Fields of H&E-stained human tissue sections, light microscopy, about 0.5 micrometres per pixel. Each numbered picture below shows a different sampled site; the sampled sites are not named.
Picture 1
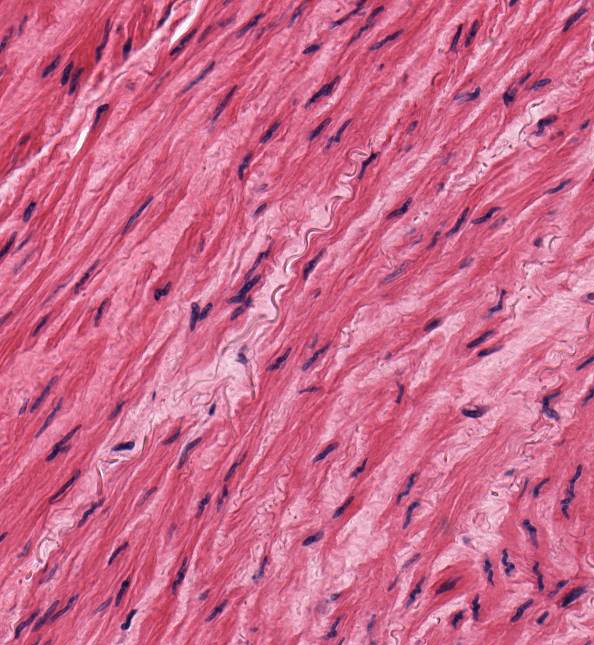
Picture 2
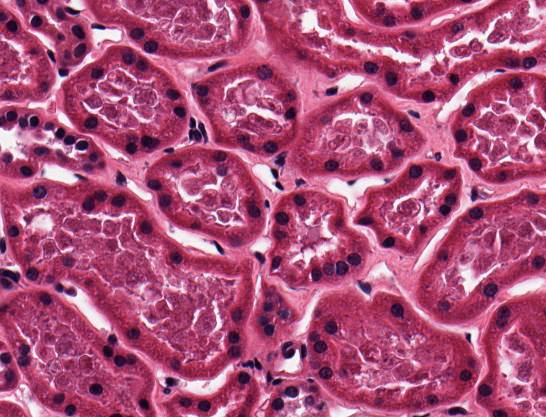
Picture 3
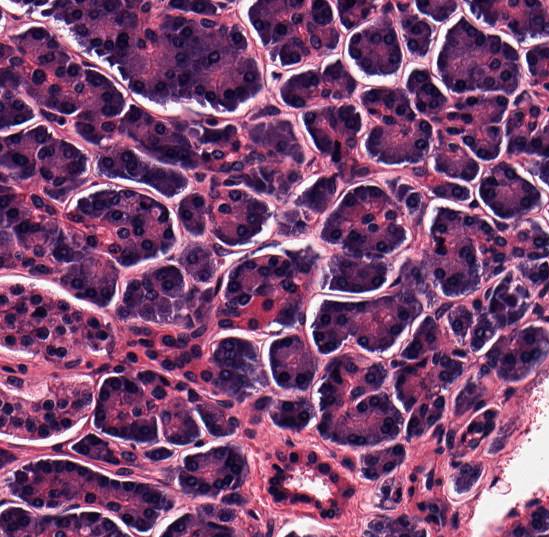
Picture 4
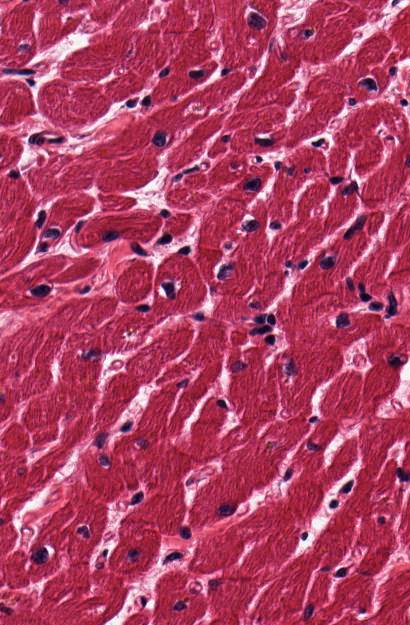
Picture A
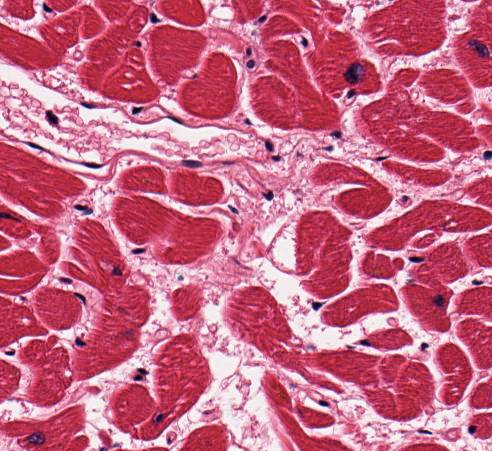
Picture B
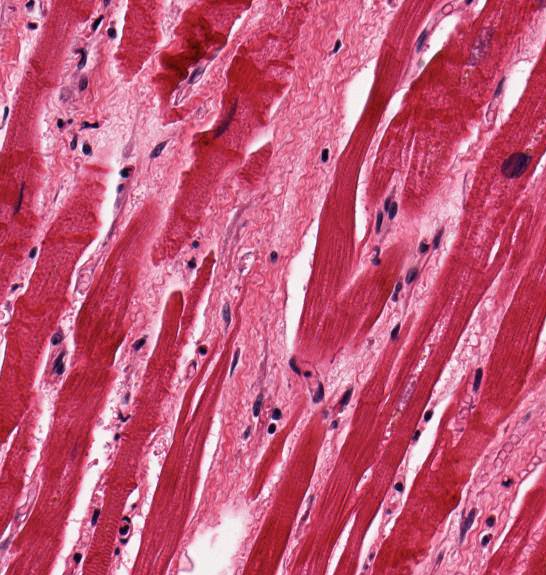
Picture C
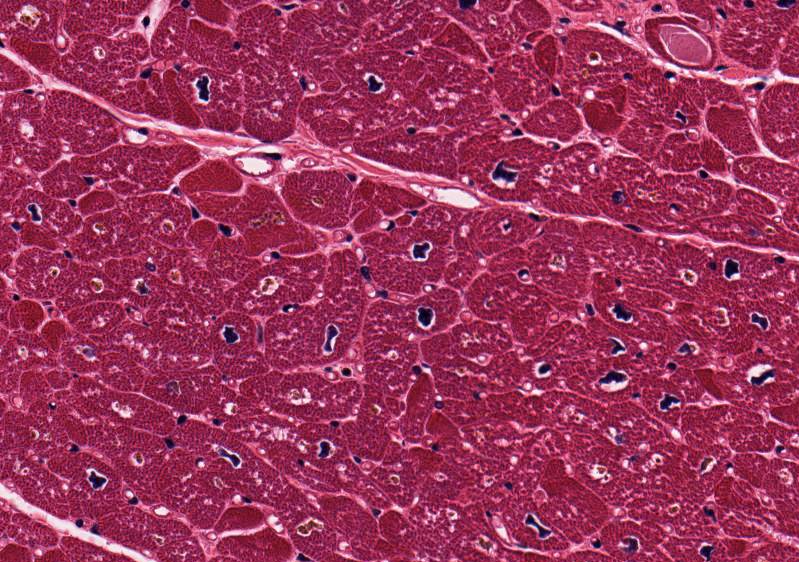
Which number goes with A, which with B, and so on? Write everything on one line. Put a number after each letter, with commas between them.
A 4, B 4, C 4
